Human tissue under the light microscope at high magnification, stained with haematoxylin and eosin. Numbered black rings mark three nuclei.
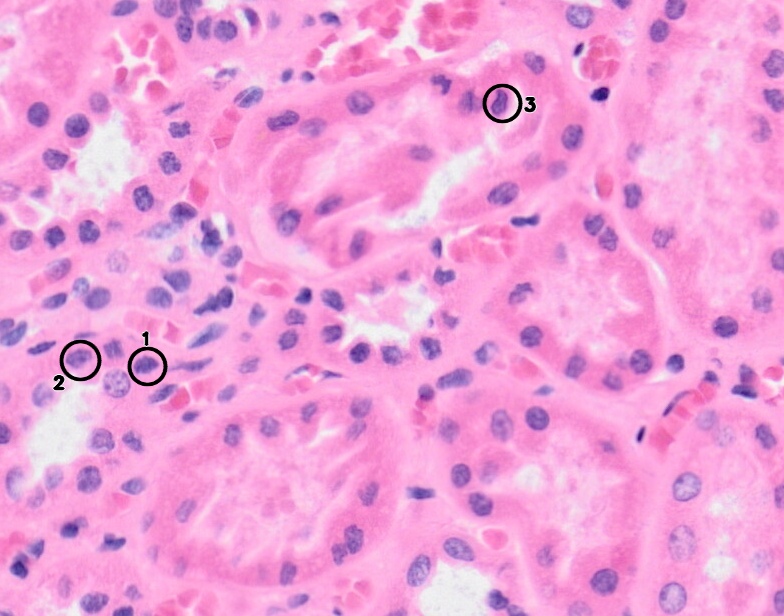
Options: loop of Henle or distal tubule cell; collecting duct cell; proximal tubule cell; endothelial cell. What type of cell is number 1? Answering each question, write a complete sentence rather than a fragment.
The nucleus labeled 1 belongs to a loop of Henle or distal tubule cell.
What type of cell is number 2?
What the number 2 marks in this field is a loop of Henle or distal tubule cell.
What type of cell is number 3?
The cell referenced by the number 3 is a proximal tubule cell in this field.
